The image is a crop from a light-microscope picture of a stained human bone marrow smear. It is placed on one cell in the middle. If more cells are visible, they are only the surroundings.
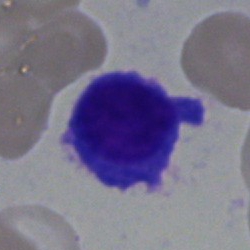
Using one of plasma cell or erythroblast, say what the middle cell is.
plasma cell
